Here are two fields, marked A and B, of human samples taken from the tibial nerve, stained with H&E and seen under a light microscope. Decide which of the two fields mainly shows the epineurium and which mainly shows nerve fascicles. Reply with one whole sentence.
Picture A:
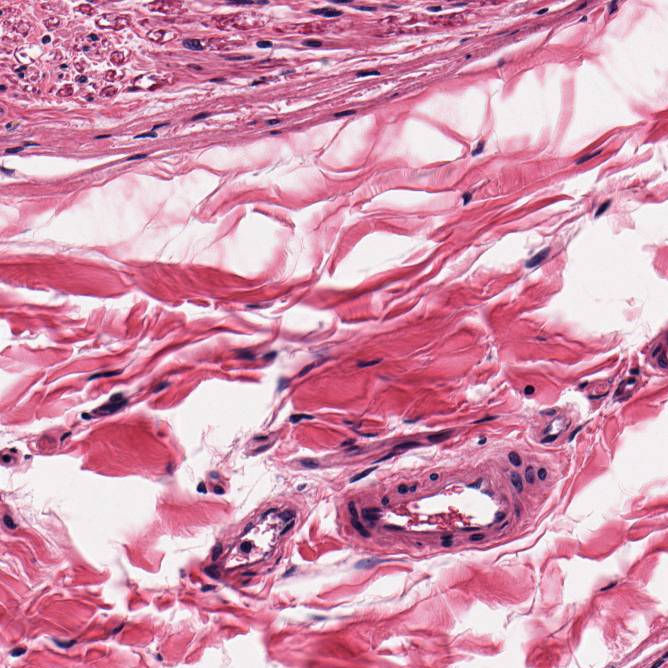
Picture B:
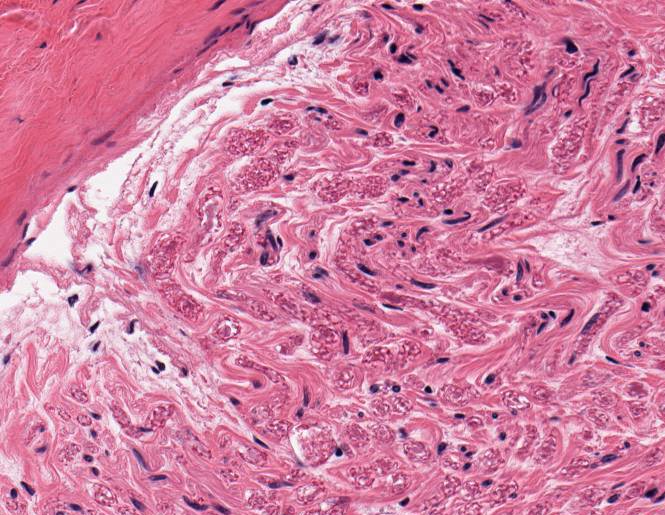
Picture B mainly shows nerve fascicles, while picture A mainly shows the epineurium.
